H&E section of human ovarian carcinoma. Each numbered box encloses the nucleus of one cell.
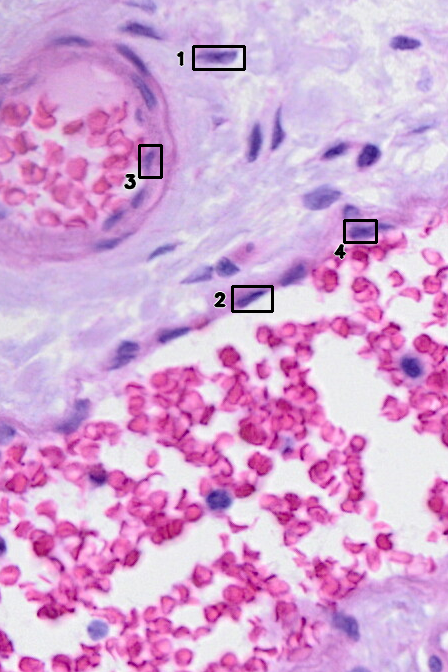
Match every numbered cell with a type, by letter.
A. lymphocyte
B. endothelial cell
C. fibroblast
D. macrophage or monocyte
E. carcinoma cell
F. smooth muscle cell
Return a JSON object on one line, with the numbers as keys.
{"1": "C", "2": "B", "3": "B", "4": "B"}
